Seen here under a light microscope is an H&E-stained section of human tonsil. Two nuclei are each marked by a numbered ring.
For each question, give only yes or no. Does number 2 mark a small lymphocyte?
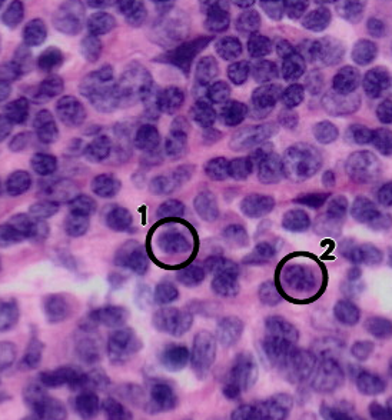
no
